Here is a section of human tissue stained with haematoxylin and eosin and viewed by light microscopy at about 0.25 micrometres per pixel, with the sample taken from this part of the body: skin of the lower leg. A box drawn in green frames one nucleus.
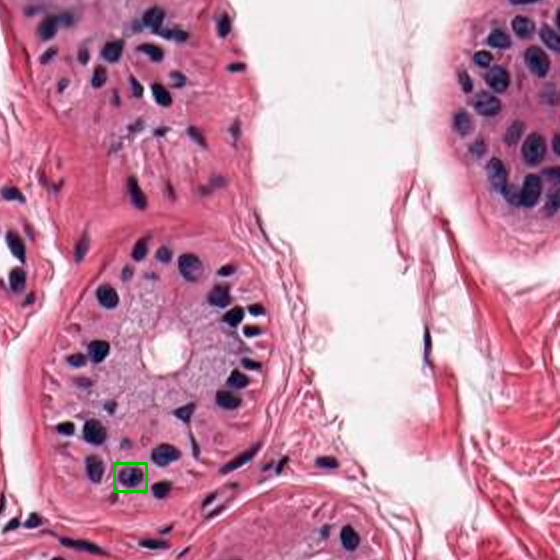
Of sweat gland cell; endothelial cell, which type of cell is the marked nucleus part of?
sweat gland cell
